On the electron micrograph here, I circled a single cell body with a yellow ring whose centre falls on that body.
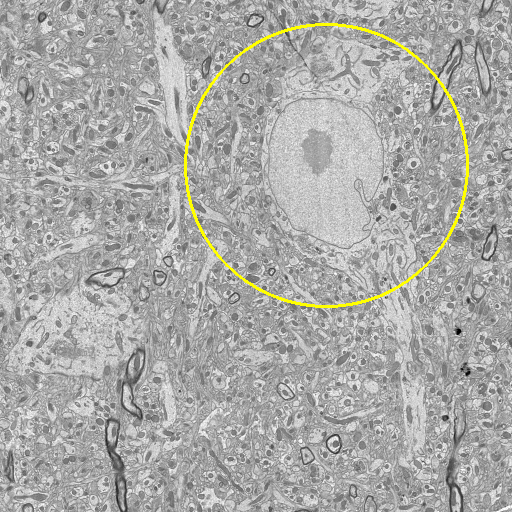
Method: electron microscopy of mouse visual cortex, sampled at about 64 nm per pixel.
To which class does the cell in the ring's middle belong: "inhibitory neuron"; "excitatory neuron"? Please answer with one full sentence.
In this picture, the cell body circled at the ring's centre belongs to an inhibitory neuron.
